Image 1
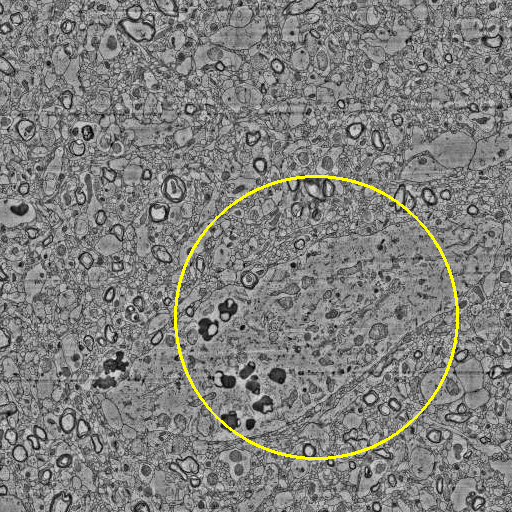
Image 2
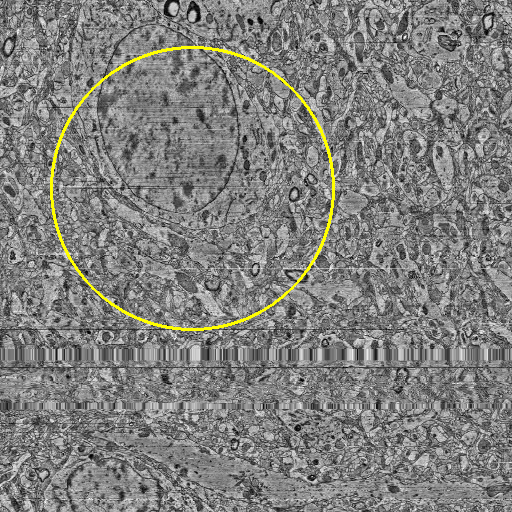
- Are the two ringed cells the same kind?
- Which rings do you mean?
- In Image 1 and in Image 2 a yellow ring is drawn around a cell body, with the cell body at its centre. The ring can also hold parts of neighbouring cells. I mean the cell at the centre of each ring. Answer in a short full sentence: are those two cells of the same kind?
Yes, both cells are of the same kind.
